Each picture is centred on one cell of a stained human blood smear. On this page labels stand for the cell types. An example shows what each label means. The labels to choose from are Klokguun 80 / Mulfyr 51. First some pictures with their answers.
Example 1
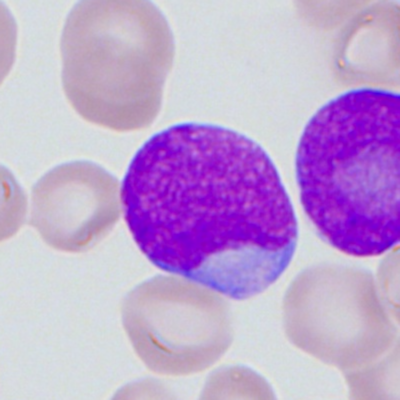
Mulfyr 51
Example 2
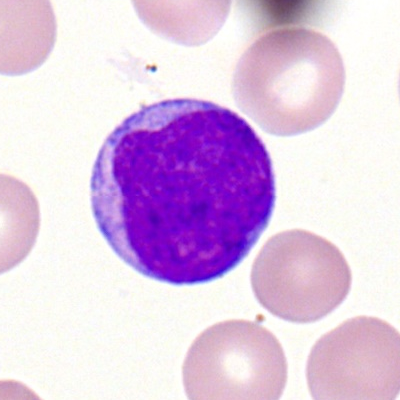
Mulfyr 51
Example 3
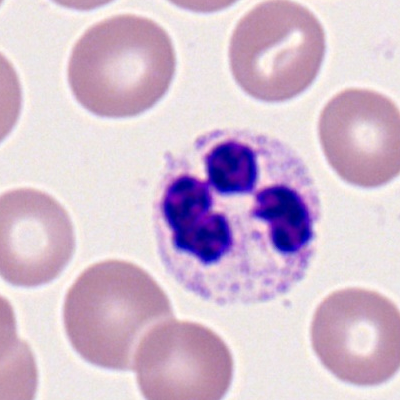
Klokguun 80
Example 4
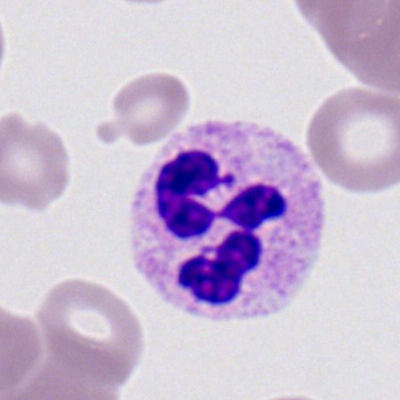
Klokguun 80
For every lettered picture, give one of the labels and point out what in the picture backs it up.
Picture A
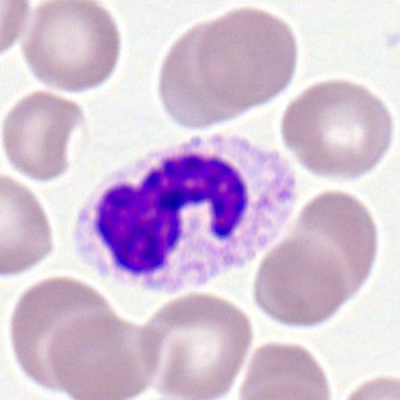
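Klokguun 80. Evidence: The cytoplasm is plentiful and pale pink.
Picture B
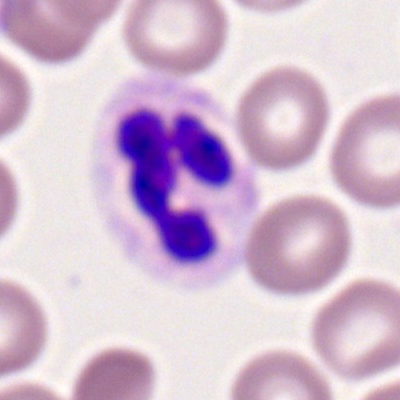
Klokguun 80. Evidence: Abundant pale pink-lilac cytoplasm surrounds the nucleus on all sides.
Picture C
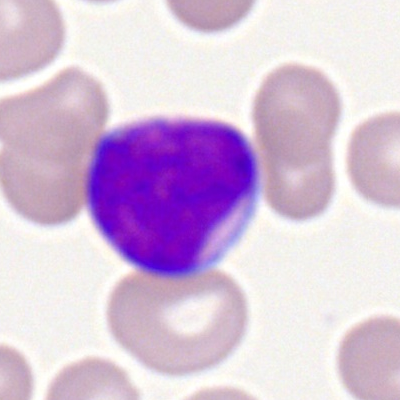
Mulfyr 51. Evidence: Only a thin crescent of pale bluish cytoplasm shows, at the lower right edge of the cell.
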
